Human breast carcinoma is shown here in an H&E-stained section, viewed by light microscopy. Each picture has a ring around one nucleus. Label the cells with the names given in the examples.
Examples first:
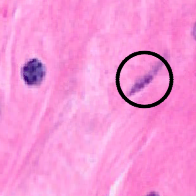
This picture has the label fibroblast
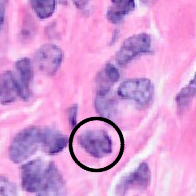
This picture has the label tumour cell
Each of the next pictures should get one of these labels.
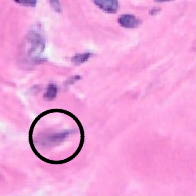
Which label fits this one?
fibroblast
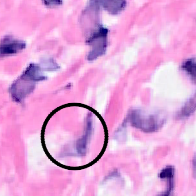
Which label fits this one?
fibroblast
